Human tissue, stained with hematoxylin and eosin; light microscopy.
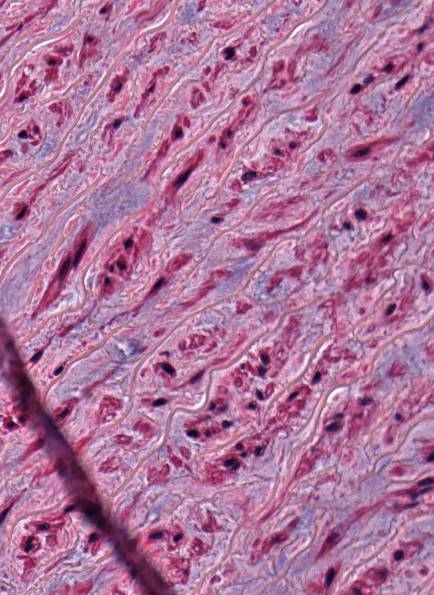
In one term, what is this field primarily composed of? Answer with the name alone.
tunica media of an artery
